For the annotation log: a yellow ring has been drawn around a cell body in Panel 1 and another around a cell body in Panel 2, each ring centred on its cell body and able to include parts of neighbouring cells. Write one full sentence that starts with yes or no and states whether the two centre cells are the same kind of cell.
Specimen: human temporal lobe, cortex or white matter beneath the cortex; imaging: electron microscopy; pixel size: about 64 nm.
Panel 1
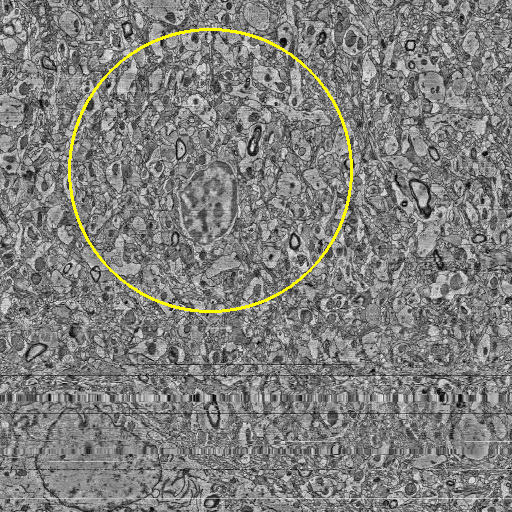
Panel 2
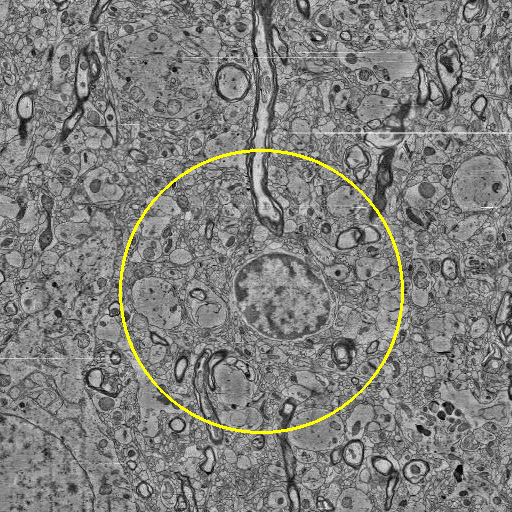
Yes, the two centre cells are the same kind of cell.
